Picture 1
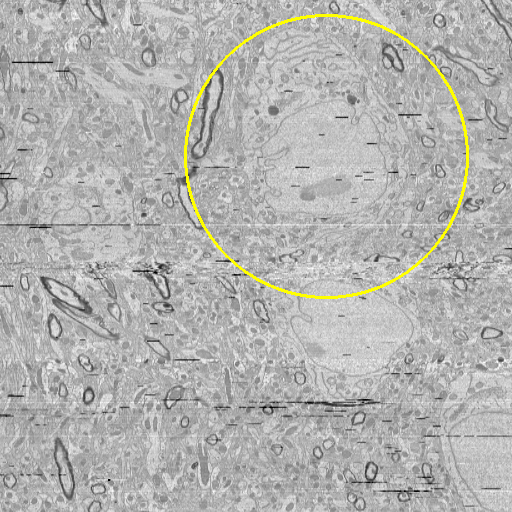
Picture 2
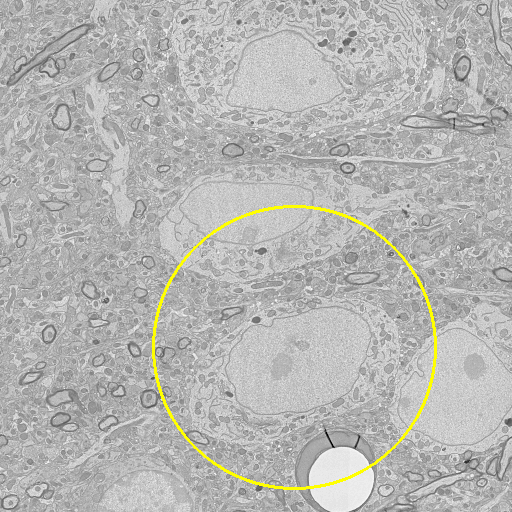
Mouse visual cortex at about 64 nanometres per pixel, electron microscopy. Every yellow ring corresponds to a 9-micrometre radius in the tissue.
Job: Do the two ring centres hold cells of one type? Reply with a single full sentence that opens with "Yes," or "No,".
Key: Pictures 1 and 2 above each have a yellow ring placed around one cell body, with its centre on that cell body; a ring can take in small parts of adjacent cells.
Yes, the cells at the two ring centres are of one single type.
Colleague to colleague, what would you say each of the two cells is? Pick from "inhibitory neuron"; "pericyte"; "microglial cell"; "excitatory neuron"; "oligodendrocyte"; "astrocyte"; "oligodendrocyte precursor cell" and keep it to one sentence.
The first and the second cell are each an inhibitory neuron.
